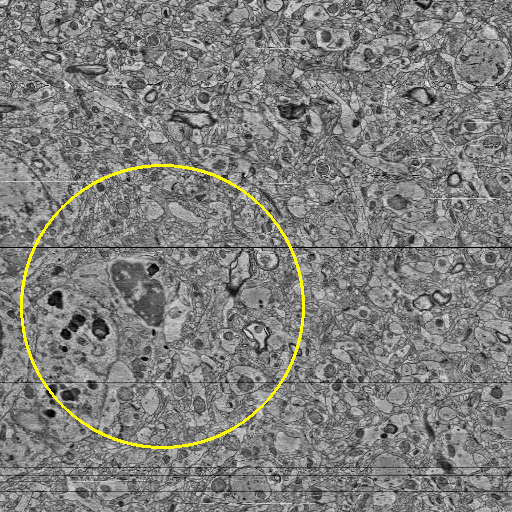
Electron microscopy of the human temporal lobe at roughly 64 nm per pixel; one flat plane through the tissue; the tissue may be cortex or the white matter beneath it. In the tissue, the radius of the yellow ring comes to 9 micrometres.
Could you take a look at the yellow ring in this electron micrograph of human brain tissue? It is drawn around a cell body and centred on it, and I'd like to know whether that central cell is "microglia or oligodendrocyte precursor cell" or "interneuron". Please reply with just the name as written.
microglia or oligodendrocyte precursor cell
